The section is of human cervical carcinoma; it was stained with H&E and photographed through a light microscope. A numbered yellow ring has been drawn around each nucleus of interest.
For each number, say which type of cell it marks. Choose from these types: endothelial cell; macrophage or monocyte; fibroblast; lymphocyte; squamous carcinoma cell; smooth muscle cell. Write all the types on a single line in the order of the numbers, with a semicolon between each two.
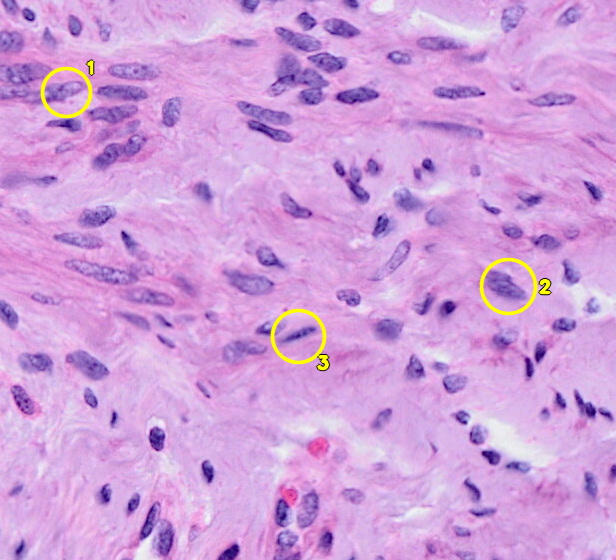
smooth muscle cell; fibroblast; fibroblast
